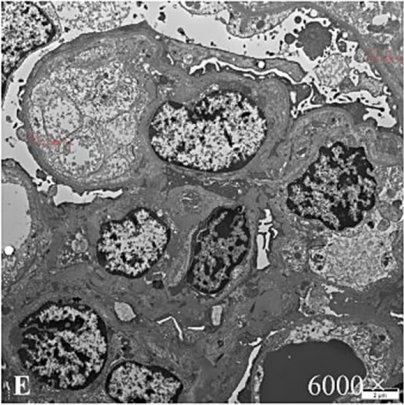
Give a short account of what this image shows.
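Transmission electron micrograph of a glomerulus showing podocytes and capillary loops. Several cells with oval to indented nuclei and clumped dark chromatin sit among capillary lumens, some containing pale material or a dark red cell. The podocyte cytoplasm over the capillary walls forms broad continuous sheets instead of a row of separate foot processes, so the normal interdigitating pattern is lost over most of the surface. Small finger-like projections of podocyte cytoplasm extend into the pale urinary space at the upper right. The capillary walls and the cells between the loops are densely packed.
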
